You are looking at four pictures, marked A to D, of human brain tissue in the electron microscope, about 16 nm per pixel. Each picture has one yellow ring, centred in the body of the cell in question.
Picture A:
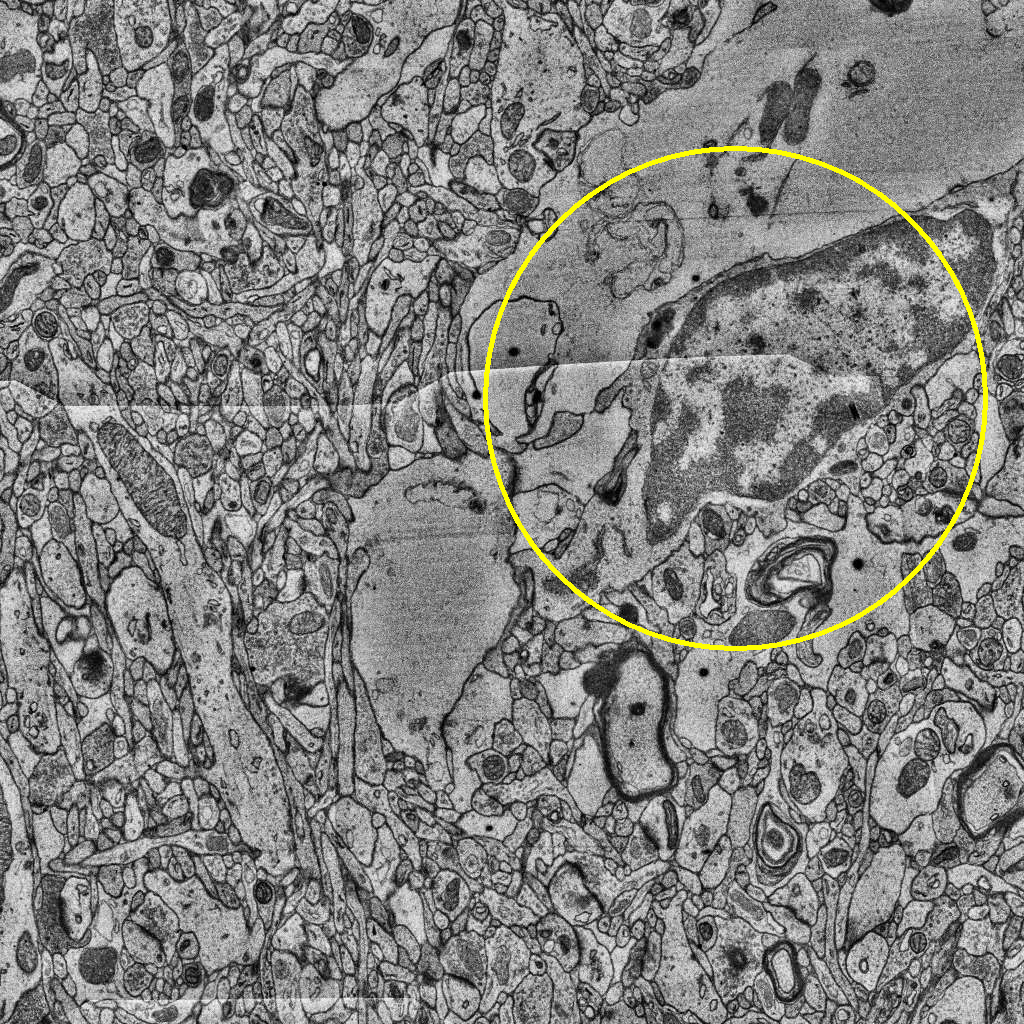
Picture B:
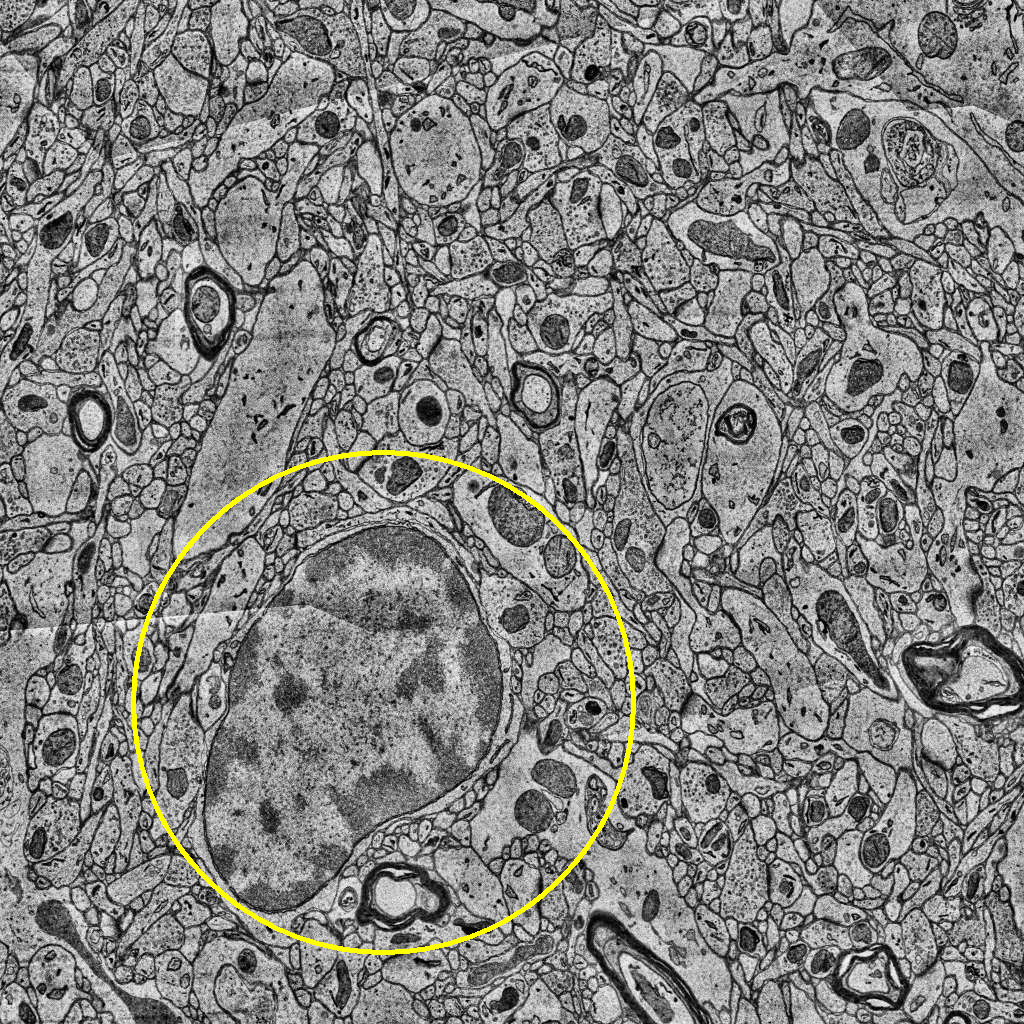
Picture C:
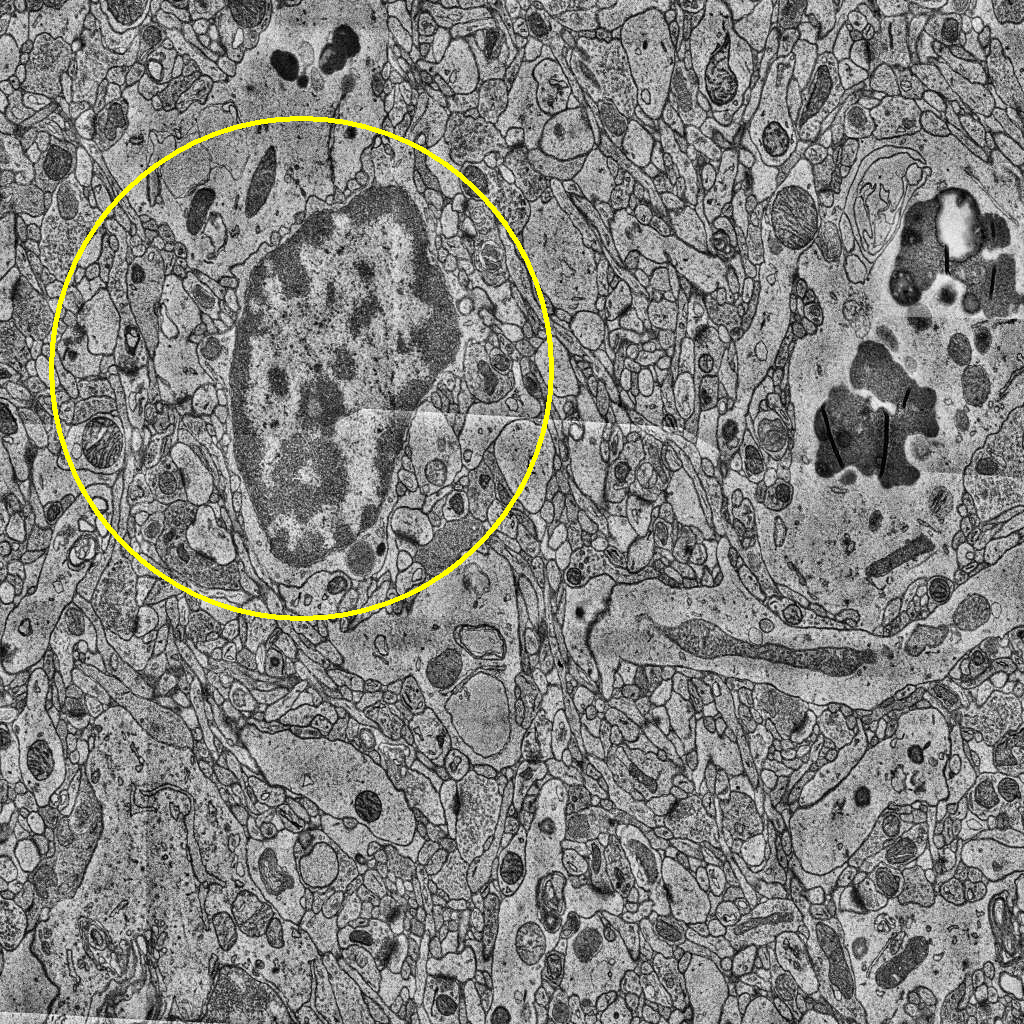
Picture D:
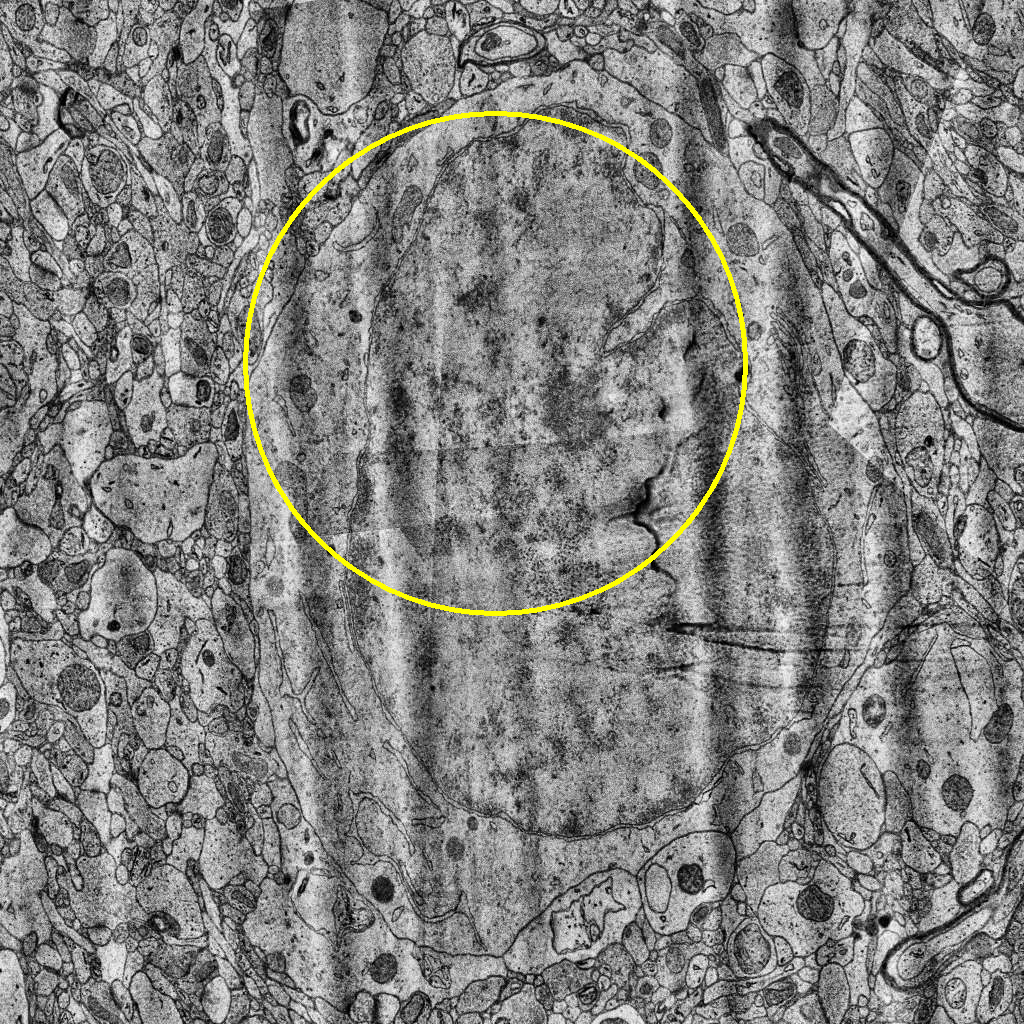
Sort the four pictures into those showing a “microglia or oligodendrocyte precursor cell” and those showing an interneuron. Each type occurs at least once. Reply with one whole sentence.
Pictures A, B and C show “microglia or oligodendrocyte precursor cells”; picture D shows an interneuron.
